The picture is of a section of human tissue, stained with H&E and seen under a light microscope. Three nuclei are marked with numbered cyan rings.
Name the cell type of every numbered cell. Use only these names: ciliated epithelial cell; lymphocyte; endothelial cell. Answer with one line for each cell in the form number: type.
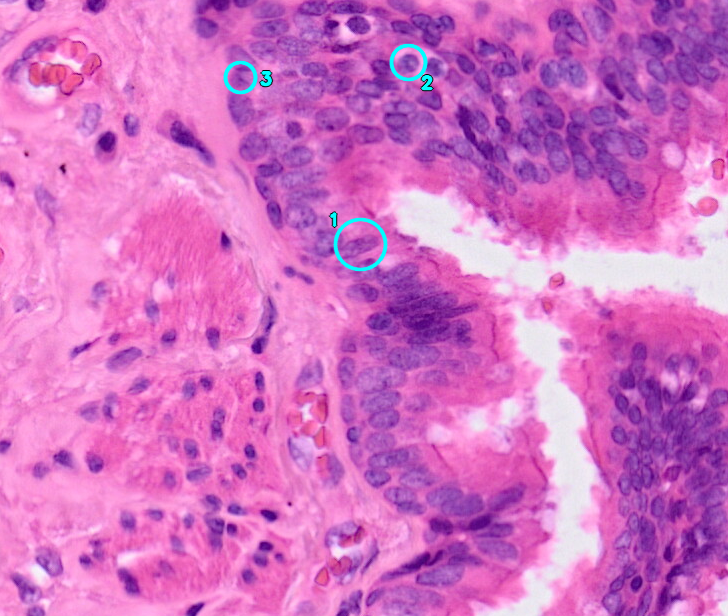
1: ciliated epithelial cell
2: lymphocyte
3: ciliated epithelial cell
